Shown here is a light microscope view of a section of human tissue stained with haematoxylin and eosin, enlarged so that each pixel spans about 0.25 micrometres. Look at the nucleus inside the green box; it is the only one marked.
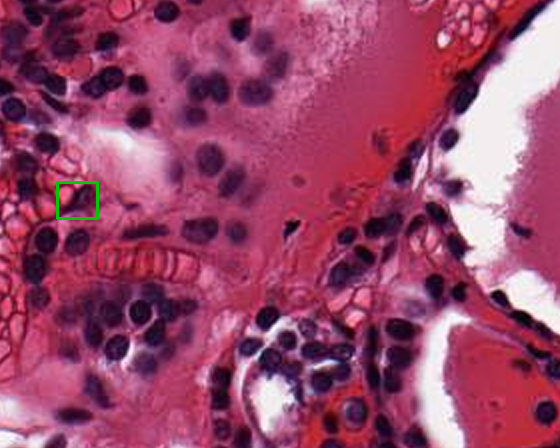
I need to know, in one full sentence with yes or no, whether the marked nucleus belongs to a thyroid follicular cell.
No, what carries the marked nucleus is a supporting cell rather than a thyroid follicular cell.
